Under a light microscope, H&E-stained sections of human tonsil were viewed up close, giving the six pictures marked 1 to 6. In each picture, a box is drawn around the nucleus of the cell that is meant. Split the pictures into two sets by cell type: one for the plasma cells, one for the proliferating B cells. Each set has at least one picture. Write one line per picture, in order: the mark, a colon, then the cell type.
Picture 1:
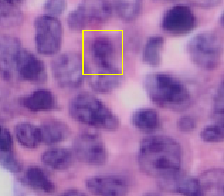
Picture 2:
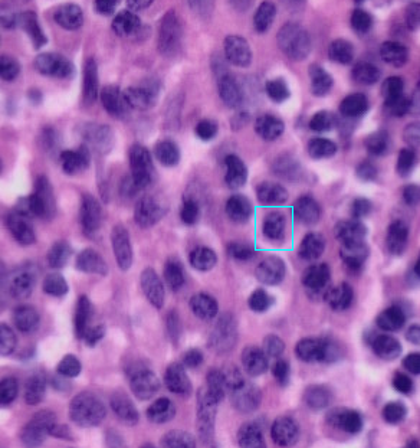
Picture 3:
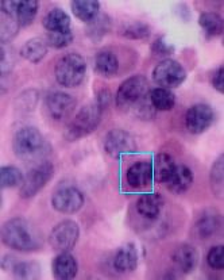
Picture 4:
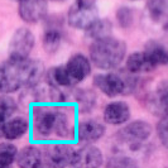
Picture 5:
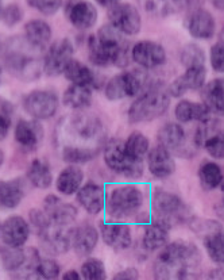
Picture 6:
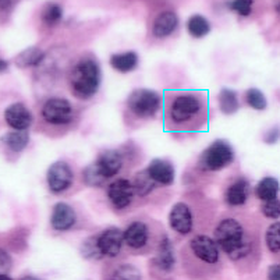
1: proliferating B cell
2: plasma cell
3: plasma cell
4: proliferating B cell
5: proliferating B cell
6: plasma cell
